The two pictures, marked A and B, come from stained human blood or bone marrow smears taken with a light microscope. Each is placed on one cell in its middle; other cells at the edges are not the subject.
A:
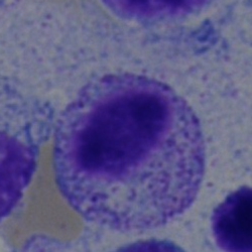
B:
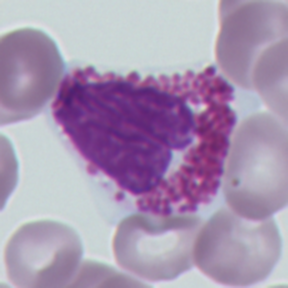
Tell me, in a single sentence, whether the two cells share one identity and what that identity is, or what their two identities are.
No, it is in crop A that a myelocyte is shown, and in crop B that an eosinophil is shown.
